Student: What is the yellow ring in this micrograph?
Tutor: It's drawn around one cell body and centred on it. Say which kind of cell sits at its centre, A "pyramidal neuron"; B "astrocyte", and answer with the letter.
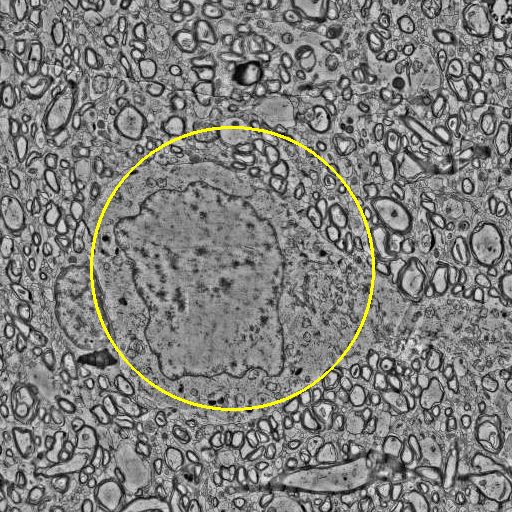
A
